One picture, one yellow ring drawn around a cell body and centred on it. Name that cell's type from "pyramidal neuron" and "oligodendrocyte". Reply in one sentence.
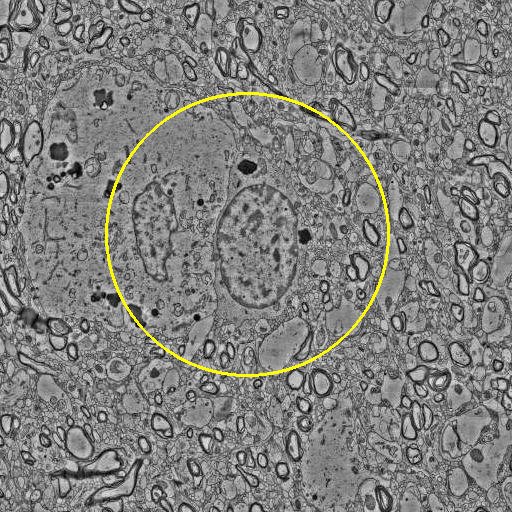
Centred in the ring is an oligodendrocyte.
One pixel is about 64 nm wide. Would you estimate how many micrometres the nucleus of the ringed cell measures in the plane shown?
In this plane the nucleus measures roughly 8 by 5 micrometres.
